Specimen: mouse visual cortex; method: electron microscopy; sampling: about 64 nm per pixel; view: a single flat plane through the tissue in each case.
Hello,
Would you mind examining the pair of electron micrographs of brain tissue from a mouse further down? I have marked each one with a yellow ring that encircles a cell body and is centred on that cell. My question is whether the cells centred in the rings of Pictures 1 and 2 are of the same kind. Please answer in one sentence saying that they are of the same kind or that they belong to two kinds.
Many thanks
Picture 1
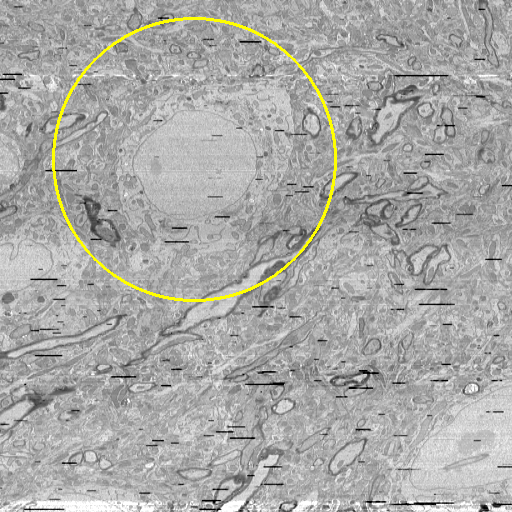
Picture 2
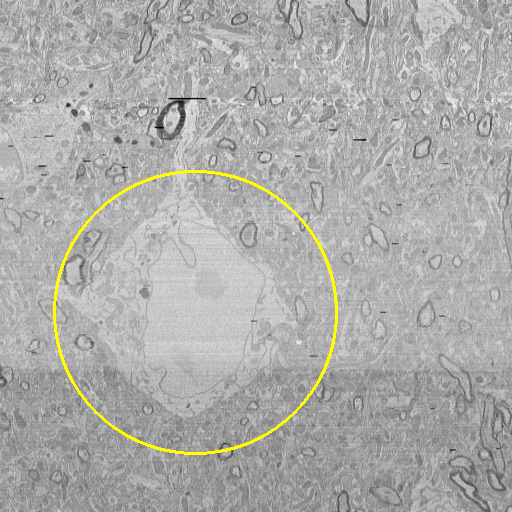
In Pictures 1 and 2, the cells at the heart of the rings are of the same kind.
